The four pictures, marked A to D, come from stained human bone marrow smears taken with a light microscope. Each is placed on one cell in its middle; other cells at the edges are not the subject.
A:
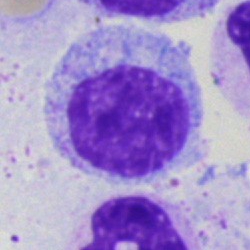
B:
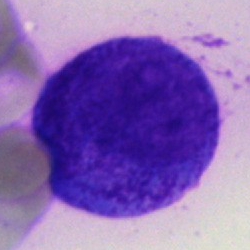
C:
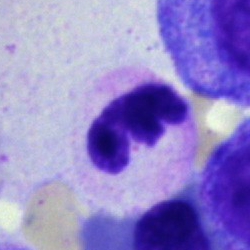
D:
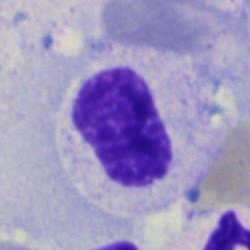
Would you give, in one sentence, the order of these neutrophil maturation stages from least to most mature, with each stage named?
The sequence of maturity, beginning with the least mature, runs crop B (a promyelocyte), crop A (a myelocyte), crop D (a band neutrophil) and crop C (a segmented neutrophil).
